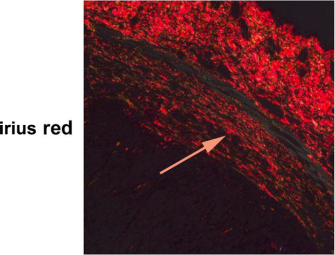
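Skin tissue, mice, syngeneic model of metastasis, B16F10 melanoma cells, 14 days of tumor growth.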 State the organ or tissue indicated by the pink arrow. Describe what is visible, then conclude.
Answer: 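The arrow points to a band of layered fibres. The band lies along the edge of a larger mass with little red fibre inside it.
Answer: stroma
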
